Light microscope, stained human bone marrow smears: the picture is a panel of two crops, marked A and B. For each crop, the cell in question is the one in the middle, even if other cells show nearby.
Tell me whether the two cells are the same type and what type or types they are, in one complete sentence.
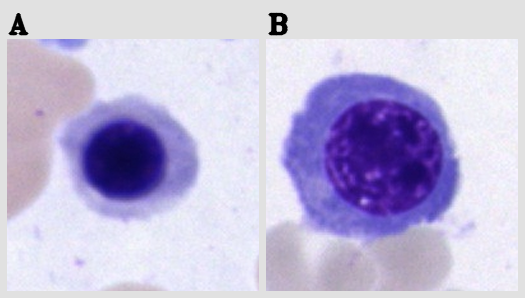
Yes, the two crops are alike in showing erythroblasts.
